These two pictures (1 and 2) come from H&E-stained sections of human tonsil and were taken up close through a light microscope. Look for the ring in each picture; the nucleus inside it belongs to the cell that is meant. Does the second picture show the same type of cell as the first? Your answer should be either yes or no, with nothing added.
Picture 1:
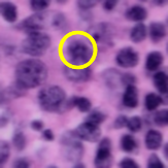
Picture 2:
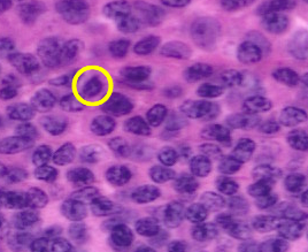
no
